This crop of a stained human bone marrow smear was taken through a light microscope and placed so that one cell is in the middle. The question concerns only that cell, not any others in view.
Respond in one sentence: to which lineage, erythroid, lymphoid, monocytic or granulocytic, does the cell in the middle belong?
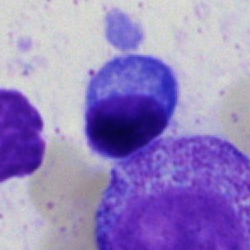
On lineage, the cell in the middle of the crop is lymphoid.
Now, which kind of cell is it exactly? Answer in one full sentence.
In the centre of this crop there is a plasma cell.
